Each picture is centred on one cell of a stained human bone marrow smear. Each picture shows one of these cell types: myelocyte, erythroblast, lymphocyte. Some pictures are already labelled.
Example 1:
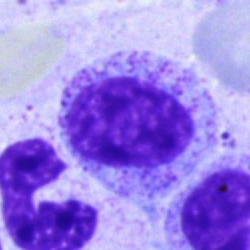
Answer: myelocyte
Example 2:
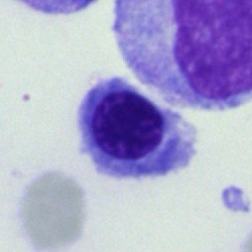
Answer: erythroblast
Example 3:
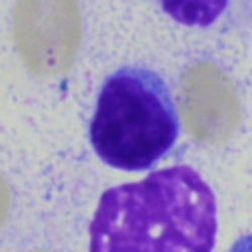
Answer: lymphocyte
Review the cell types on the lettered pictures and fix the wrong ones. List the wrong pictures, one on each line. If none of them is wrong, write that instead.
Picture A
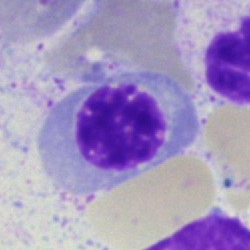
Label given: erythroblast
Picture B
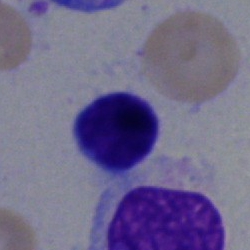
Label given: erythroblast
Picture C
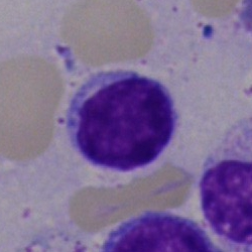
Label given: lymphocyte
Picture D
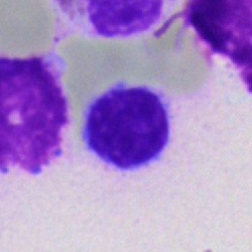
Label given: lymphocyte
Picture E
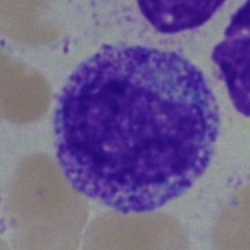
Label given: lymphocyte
B: not erythroblast but lymphocyte
E: not lymphocyte but myelocyte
